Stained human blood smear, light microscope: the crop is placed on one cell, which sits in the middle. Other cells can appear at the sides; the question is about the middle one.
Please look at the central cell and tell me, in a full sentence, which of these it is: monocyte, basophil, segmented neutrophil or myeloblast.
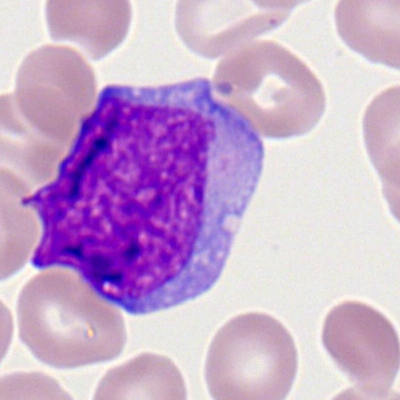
In the center of this field lies a myeloblast.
